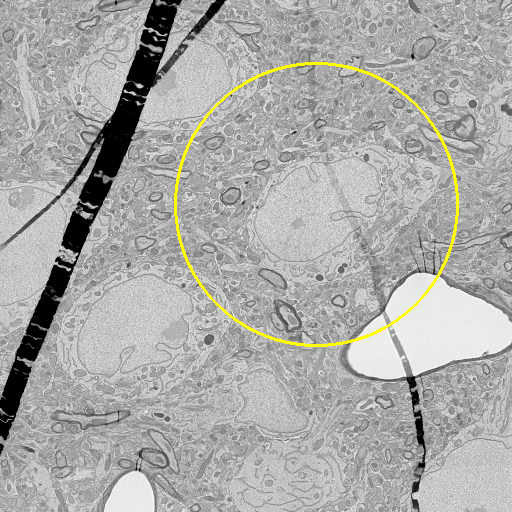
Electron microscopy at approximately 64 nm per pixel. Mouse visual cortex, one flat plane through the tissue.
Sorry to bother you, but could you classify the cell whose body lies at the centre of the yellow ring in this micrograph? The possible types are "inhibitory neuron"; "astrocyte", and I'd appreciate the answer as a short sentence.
The ringed cell body is that of an inhibitory neuron.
